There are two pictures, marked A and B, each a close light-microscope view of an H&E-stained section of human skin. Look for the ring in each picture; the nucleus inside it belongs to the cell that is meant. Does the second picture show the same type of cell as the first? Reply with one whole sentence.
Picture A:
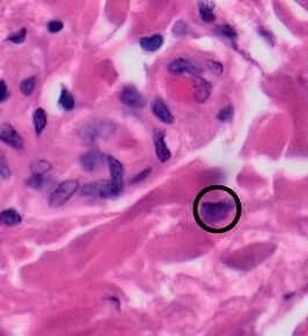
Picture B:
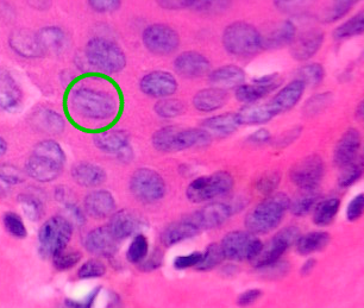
No, picture A shows a fibroblast and picture B shows a suprabasal keratinocyte.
